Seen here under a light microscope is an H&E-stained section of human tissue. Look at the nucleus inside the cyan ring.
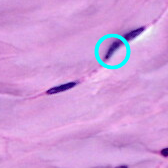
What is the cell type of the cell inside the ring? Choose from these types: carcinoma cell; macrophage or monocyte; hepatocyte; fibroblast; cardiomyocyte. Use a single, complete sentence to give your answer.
Cell type answer for this item: the cell inside the ring is a fibroblast.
